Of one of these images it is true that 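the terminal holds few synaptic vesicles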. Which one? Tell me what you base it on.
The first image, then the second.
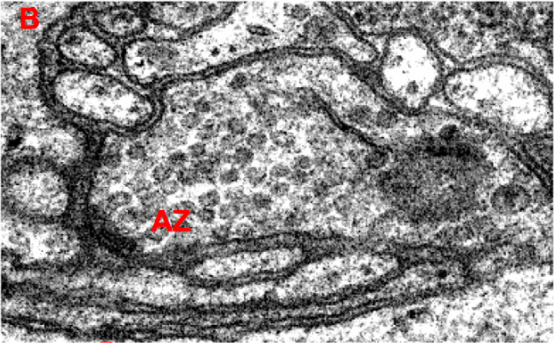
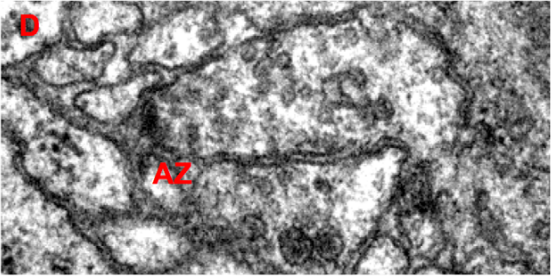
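Second image: the terminal near the dense membrane region contains only scattered small round vesicles. First image: the terminal is densely packed with small round vesicles. The answer: the second image.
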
